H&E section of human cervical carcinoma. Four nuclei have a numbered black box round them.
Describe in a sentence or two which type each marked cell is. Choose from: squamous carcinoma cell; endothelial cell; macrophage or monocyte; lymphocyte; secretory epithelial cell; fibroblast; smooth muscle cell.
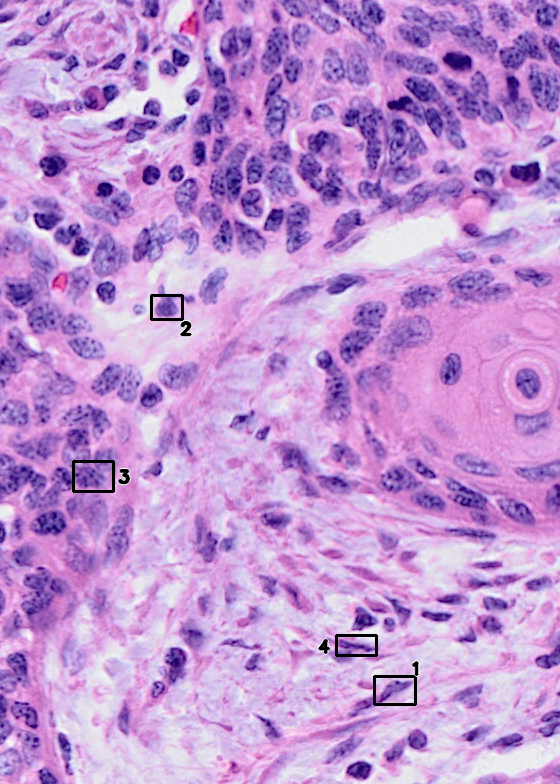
Cell 1 is a fibroblast, cell 2 is a lymphocyte, cell 3 is a squamous carcinoma cell and cell 4 is a fibroblast.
